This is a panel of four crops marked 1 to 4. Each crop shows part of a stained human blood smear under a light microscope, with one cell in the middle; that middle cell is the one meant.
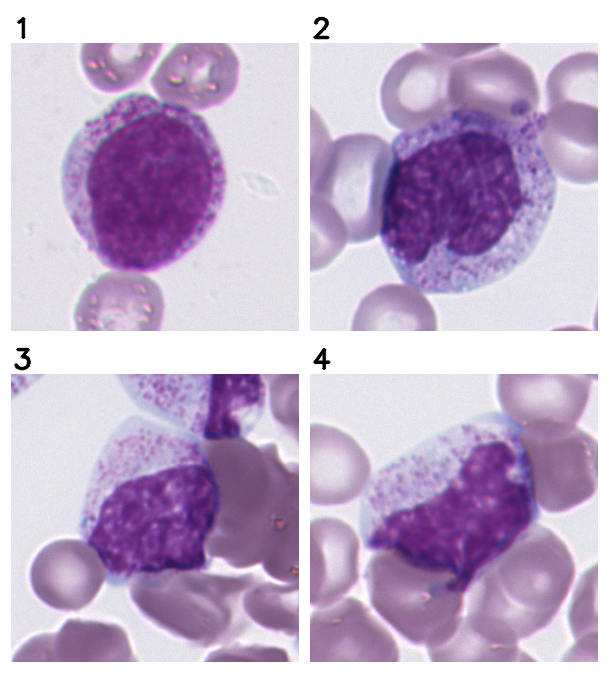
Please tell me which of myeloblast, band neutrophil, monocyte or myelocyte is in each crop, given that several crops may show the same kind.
1: myelocyte
2: myelocyte
3: myelocyte
4: myelocyte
